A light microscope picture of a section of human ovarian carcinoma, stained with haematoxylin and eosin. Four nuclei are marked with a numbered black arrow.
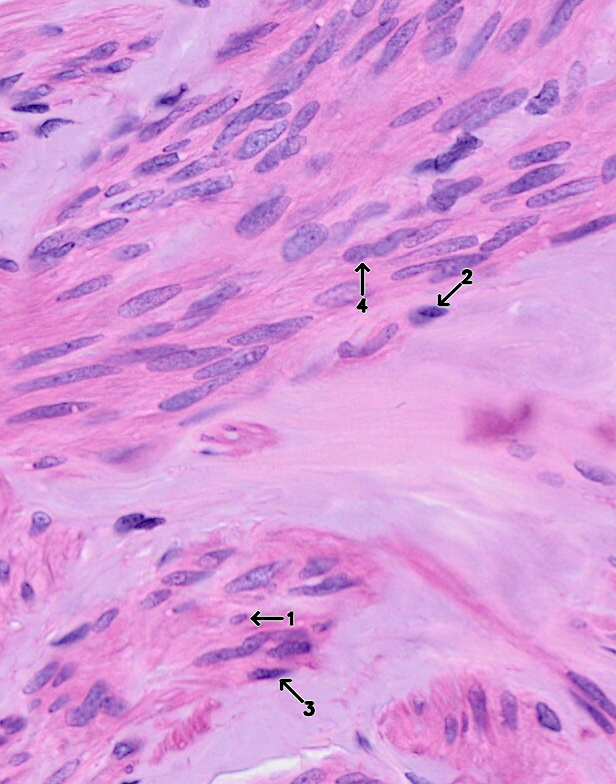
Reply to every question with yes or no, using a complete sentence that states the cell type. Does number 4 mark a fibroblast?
No, cell 4 is identified not as a fibroblast but as a smooth muscle cell.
